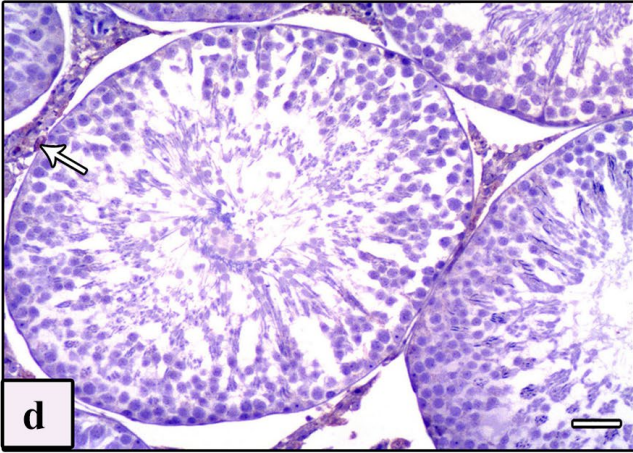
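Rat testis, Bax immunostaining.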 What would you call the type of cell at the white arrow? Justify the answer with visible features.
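Interstitial cells of Leydig. The arrow points to a small cell in the narrow space between seminiferous tubules. That cell shows only a faint brownish tint.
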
